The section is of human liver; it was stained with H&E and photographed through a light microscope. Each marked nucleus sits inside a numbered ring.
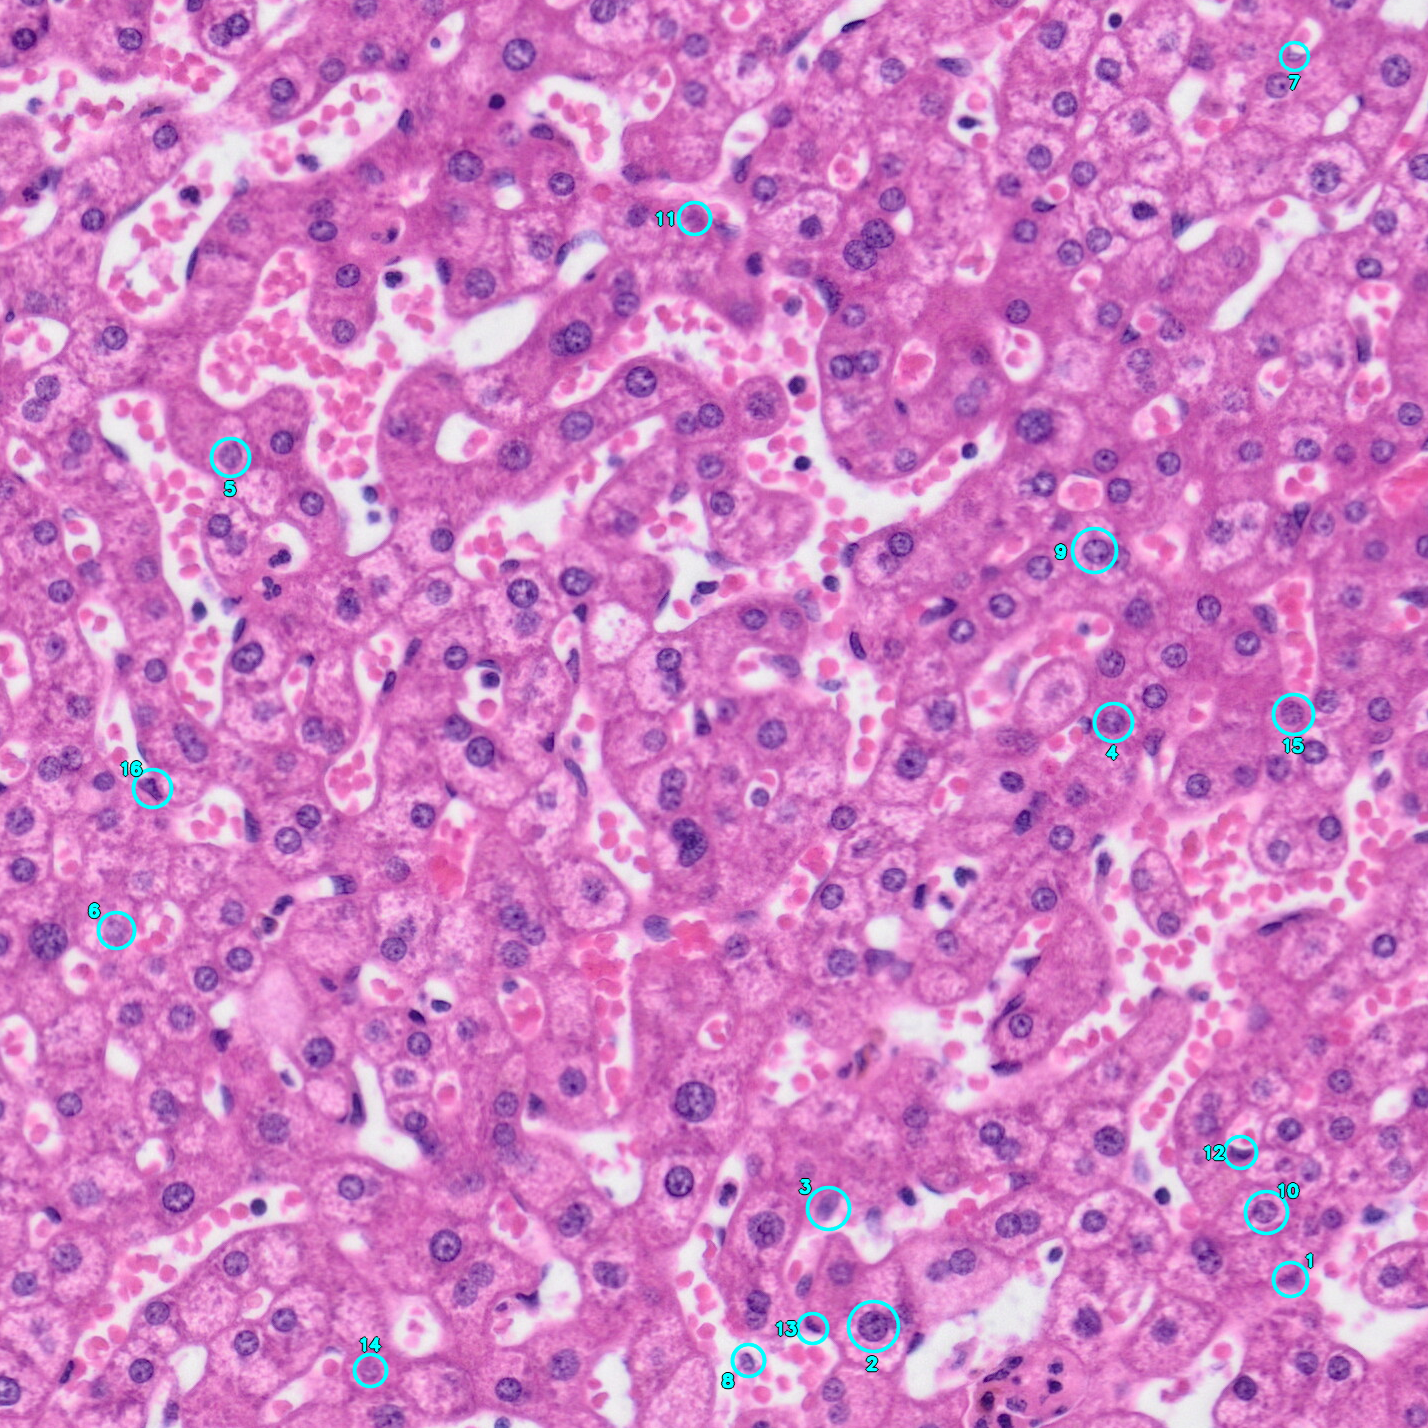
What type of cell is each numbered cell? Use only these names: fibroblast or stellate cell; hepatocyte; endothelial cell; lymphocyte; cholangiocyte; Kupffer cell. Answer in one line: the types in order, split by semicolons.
endothelial cell; hepatocyte; endothelial cell; hepatocyte; hepatocyte; hepatocyte; endothelial cell; Kupffer cell; hepatocyte; hepatocyte; hepatocyte; endothelial cell; fibroblast or stellate cell; hepatocyte; hepatocyte; fibroblast or stellate cell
